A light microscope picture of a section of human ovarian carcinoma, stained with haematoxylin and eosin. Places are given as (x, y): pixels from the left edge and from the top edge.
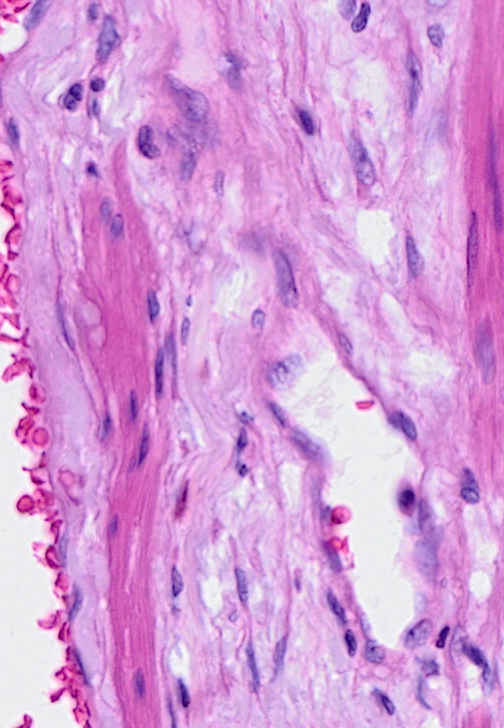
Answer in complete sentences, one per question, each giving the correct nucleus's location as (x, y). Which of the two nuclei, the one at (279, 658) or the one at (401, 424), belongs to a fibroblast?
Among the two nuclei, the one found at (279, 658) belongs to a fibroblast.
